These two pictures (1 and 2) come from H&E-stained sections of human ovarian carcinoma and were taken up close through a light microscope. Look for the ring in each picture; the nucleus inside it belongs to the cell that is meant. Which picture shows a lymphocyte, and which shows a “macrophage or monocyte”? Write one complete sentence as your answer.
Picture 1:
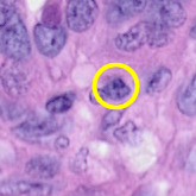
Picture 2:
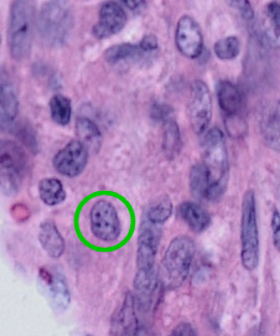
The cell in picture 1 is a lymphocyte, and the one in picture 2 is a “macrophage or monocyte”.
